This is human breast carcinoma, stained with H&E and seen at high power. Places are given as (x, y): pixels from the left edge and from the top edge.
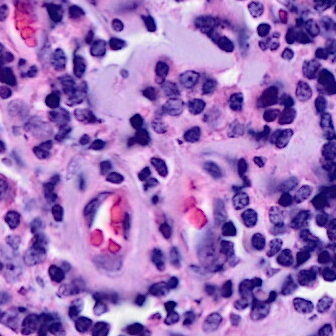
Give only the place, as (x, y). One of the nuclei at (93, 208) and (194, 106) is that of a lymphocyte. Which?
(194, 106)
